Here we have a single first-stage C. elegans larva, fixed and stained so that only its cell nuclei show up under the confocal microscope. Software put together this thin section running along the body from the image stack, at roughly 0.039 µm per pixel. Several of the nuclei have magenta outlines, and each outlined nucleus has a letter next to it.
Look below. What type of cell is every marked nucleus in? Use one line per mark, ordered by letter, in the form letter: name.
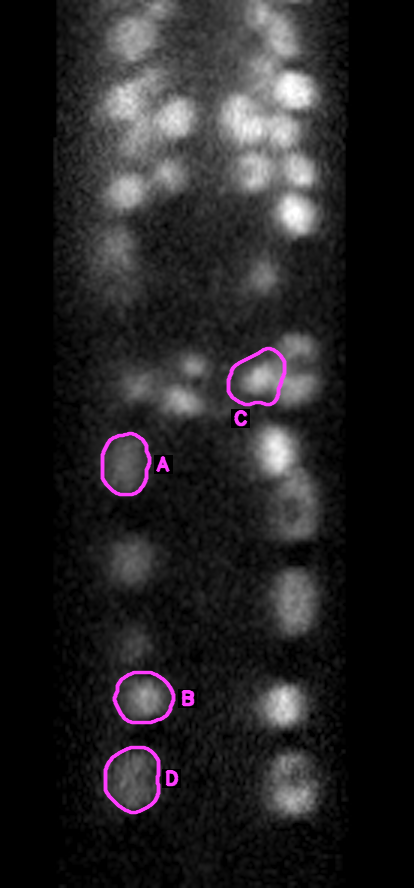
A: hypodermal cell (hyp)
B: neuron
C: valve cell of the gut
D: seam cell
